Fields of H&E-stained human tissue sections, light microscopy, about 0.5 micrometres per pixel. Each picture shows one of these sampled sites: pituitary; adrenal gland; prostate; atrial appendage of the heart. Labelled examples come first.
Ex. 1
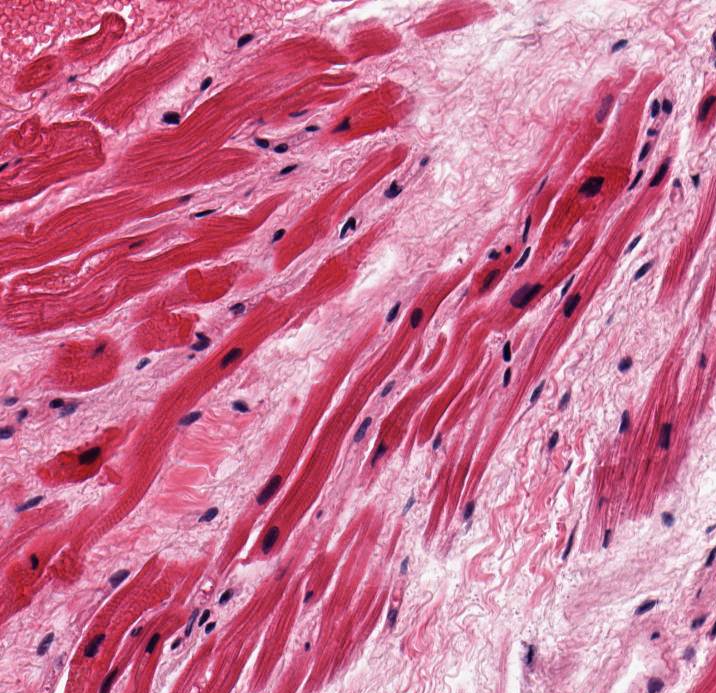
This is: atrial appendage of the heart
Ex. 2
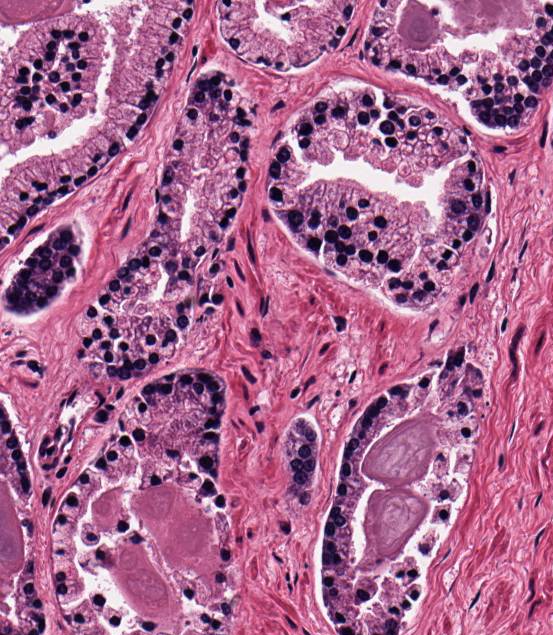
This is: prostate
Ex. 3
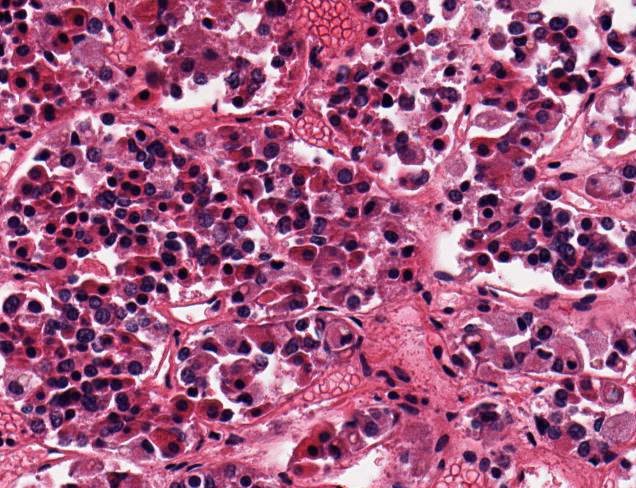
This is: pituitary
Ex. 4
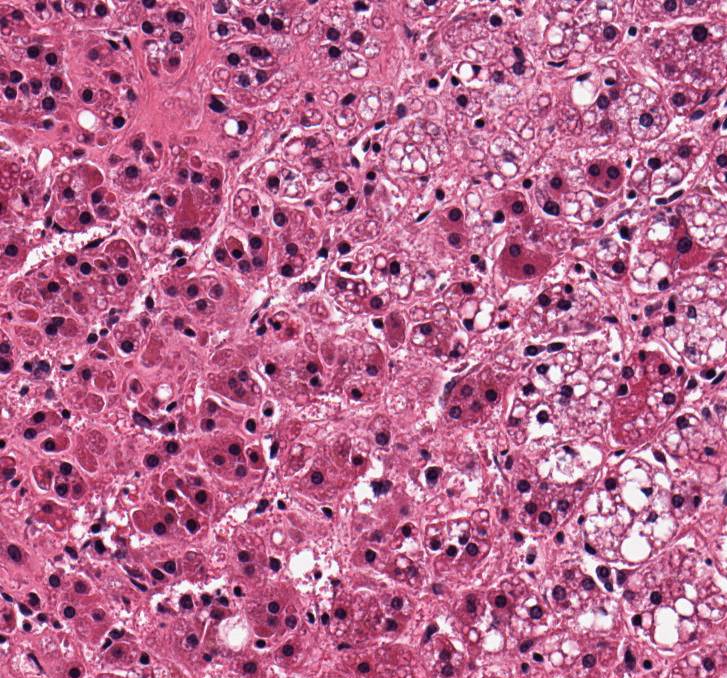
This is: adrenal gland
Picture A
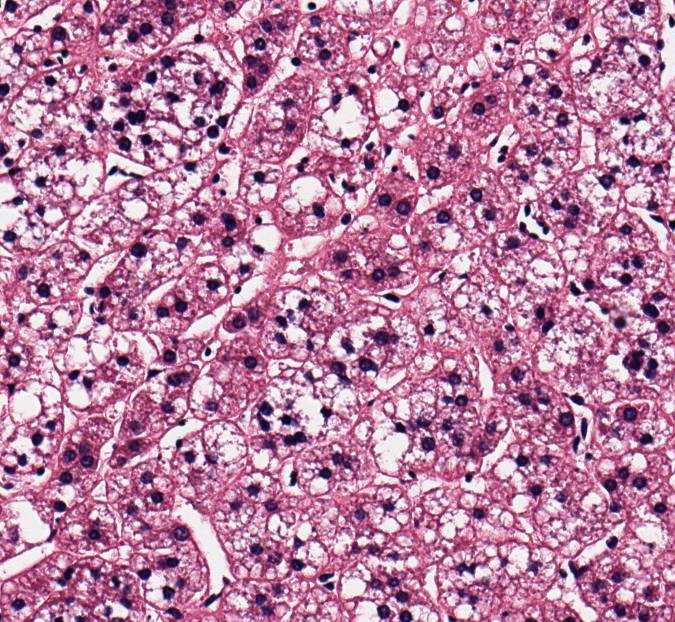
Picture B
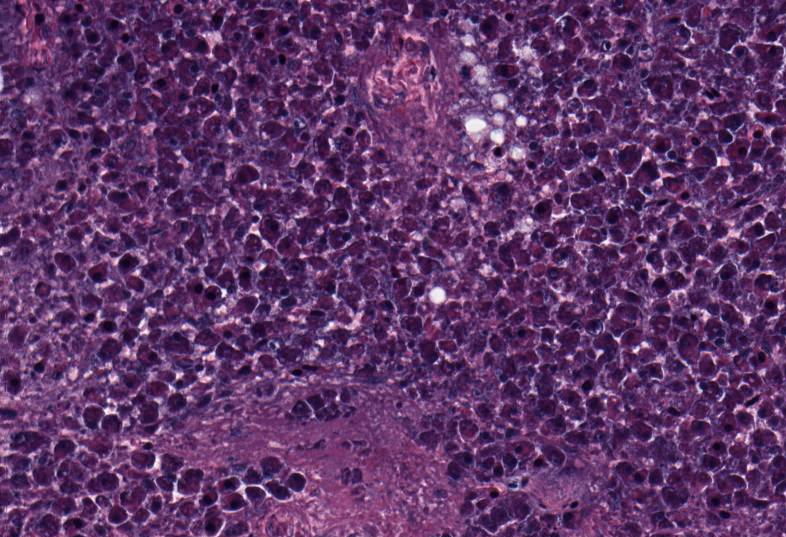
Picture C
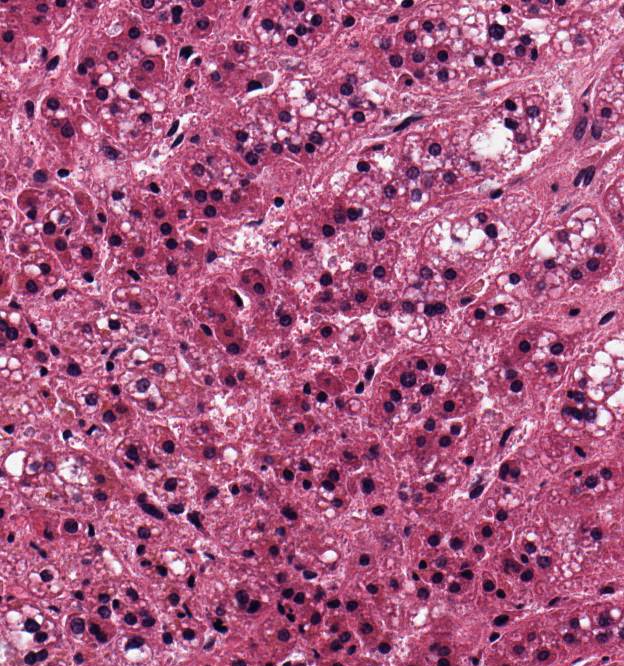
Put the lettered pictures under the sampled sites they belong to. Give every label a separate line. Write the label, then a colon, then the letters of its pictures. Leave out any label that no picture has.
adrenal gland: A, B, C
